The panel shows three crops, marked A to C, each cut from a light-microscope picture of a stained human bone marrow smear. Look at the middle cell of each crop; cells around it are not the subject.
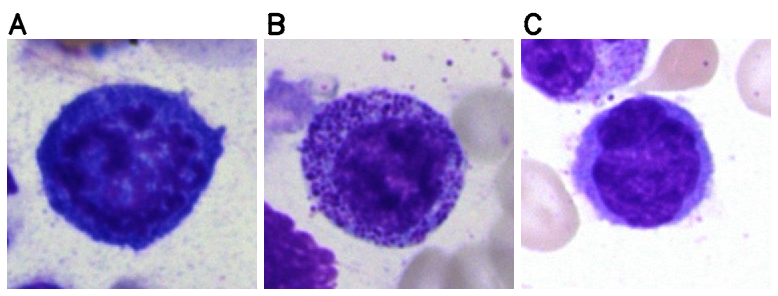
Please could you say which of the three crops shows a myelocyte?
B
